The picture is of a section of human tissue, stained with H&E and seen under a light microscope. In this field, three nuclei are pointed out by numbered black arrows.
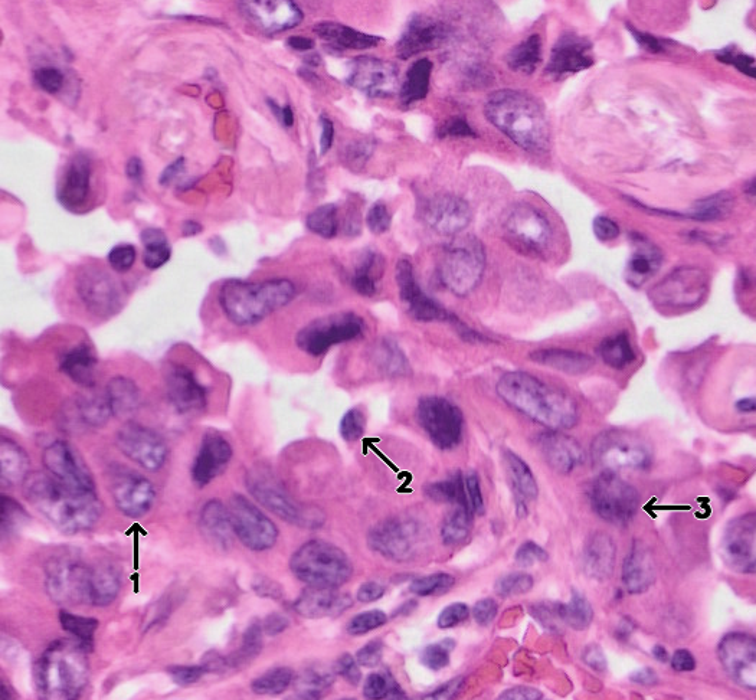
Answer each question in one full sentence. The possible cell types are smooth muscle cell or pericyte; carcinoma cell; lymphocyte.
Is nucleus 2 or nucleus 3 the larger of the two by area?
Number 3 is larger; its area is about 2.5 times that of number 2.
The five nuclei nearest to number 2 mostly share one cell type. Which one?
Of the five nuclei nearest to number 2, most belong to carcinoma cells.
